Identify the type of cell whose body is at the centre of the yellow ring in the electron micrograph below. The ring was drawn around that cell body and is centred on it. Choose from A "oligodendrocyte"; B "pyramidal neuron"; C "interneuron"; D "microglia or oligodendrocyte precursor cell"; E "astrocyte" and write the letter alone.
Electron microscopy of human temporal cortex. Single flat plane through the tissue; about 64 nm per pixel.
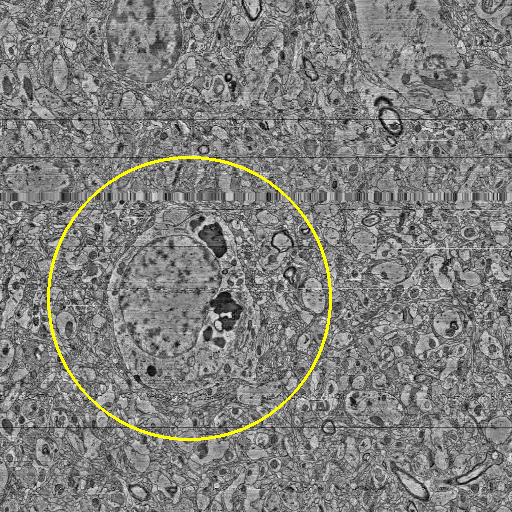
C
